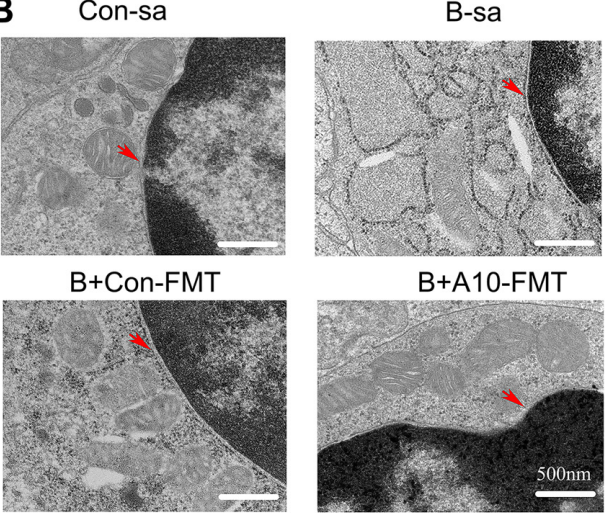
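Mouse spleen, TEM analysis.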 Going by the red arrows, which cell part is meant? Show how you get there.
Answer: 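Each red arrow points at the boundary where a dark, dense nucleus meets the paler cytoplasm. A thin pale line runs along the nuclear edge beside each arrow.
Conclusion: the gap between the nuclei and the cytoplasm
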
